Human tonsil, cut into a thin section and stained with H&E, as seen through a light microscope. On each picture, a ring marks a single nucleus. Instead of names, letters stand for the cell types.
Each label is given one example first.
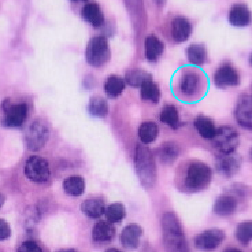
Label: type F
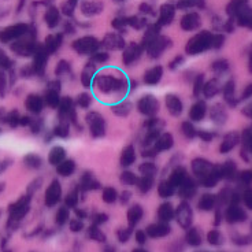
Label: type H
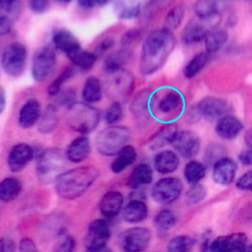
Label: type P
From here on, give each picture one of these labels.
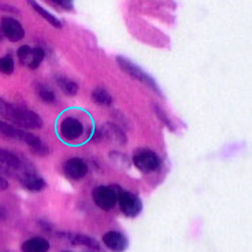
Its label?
type F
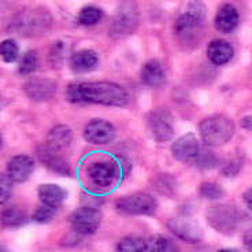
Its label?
type F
